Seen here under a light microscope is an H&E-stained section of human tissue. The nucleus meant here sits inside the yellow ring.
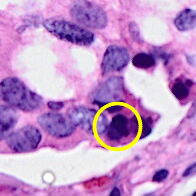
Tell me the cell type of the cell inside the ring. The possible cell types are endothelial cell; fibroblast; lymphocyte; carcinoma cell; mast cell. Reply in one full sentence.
As to its cell type, the cell inside the ring is a carcinoma cell.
